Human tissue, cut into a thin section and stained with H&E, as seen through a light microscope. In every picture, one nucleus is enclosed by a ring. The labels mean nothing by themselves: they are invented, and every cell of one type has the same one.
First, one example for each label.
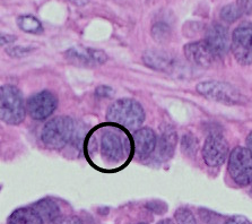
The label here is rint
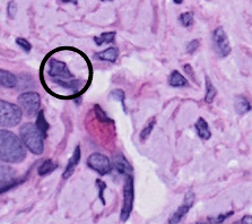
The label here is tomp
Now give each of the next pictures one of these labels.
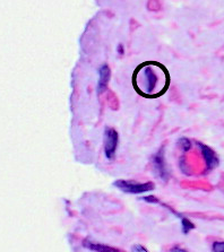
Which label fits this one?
tomp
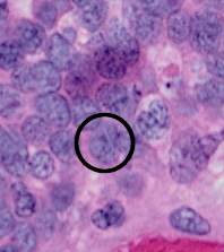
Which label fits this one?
rint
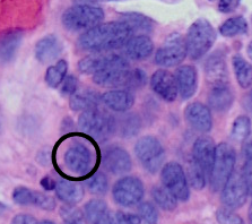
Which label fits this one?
rint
